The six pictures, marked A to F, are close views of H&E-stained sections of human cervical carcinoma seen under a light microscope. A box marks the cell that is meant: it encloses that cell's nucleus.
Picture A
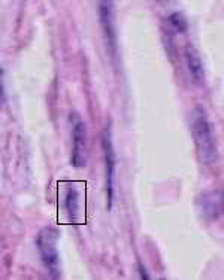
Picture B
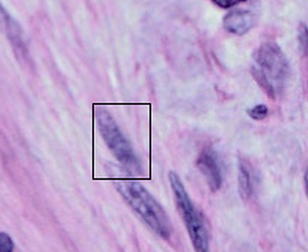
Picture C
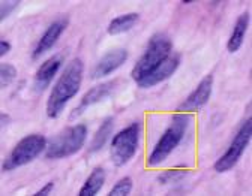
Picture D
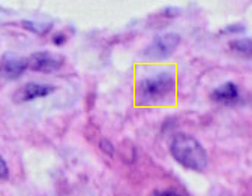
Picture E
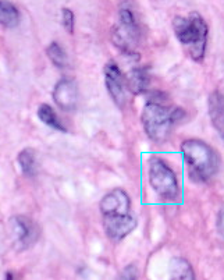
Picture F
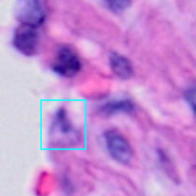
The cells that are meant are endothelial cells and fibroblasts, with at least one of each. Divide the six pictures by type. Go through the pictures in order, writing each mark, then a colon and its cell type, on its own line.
A: fibroblast
B: fibroblast
C: fibroblast
D: fibroblast
E: endothelial cell
F: endothelial cell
